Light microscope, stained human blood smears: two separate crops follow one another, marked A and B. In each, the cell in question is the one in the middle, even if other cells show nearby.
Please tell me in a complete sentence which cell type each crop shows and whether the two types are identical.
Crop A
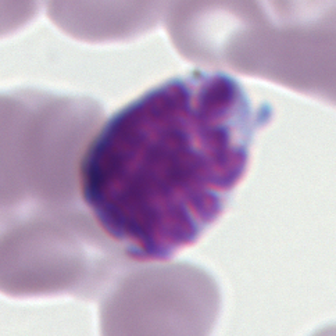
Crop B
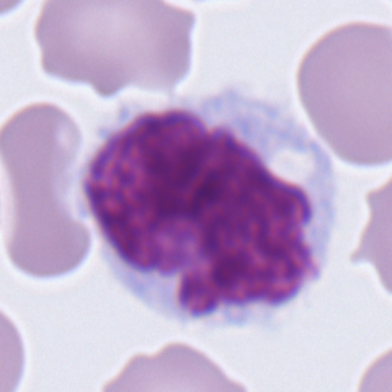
No, mark crop A as a large granular lymphocyte and crop B as a hairy cell.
